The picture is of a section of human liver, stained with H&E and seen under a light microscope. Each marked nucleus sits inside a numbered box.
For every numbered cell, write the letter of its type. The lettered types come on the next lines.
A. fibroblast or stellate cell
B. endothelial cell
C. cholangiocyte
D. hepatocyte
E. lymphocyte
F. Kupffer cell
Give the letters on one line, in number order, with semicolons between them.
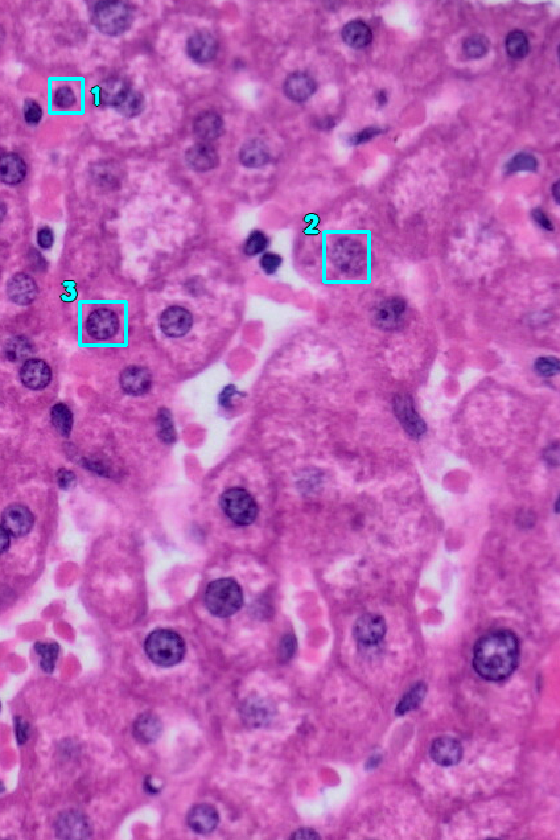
E; D; D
